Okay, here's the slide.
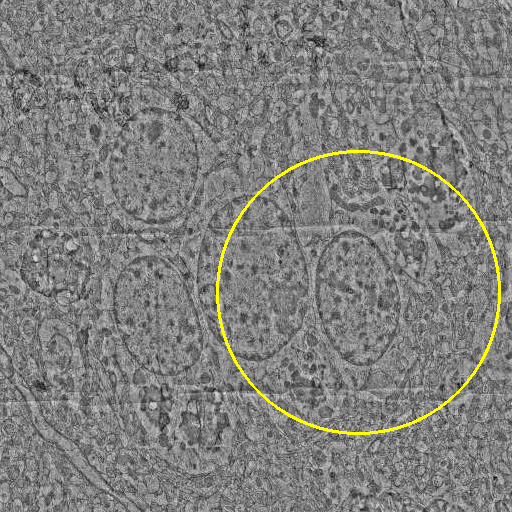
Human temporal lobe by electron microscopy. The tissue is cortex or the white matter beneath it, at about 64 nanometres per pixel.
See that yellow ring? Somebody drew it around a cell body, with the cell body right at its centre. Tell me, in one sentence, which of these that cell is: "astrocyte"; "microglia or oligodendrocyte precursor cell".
The cell in the middle of the ring is an astrocyte.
